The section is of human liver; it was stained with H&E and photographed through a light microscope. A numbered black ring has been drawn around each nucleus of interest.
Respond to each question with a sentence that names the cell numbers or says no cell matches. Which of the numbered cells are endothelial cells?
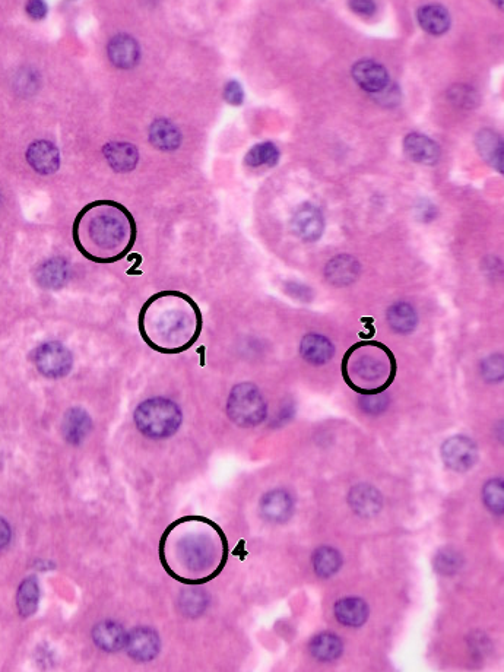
Nothing but cell 4 is an endothelial cell among the numbered ones.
